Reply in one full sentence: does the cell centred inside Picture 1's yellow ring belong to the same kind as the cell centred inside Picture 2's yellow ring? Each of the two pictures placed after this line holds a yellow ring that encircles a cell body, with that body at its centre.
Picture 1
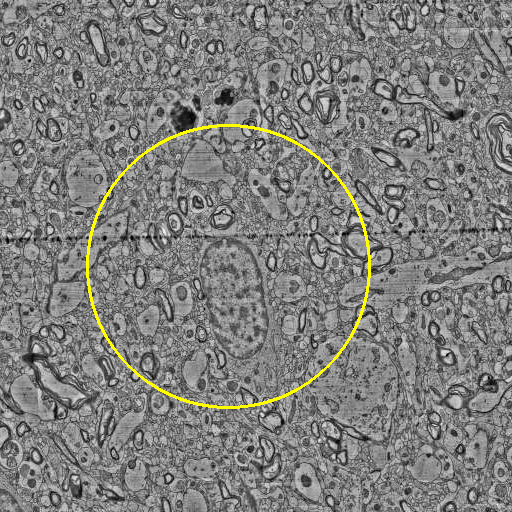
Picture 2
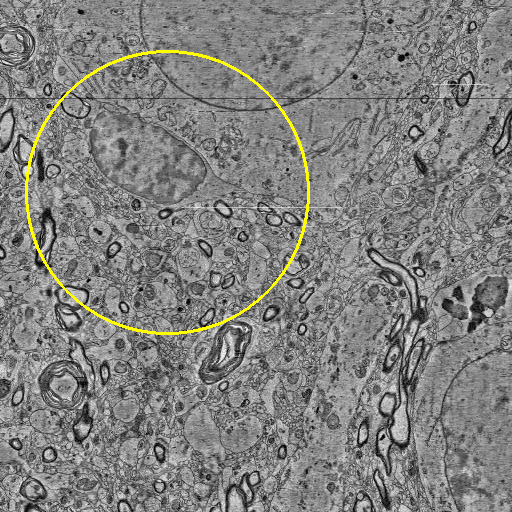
Yes, the ring-centred cells in Picture 1 and Picture 2 are of one and the same kind.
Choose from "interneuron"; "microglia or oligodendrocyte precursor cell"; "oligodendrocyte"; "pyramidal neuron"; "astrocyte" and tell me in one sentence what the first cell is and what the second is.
In the first picture and in the second, the ring is centred on an oligodendrocyte.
